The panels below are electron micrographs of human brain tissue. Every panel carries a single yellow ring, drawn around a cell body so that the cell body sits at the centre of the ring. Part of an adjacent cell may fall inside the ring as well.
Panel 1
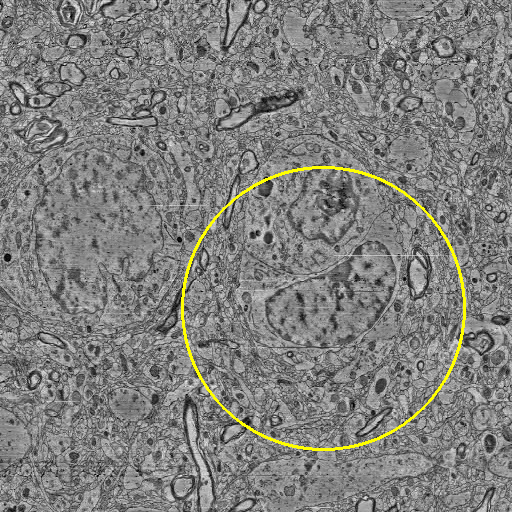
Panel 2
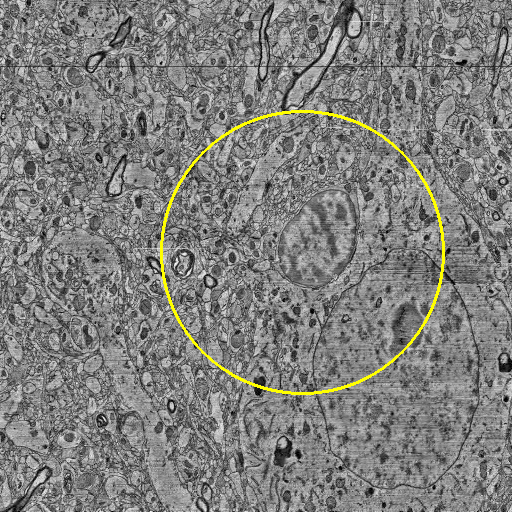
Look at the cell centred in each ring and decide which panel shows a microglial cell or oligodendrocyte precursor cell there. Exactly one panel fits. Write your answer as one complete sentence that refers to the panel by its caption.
Panel 1 has it at the centre of its ring.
